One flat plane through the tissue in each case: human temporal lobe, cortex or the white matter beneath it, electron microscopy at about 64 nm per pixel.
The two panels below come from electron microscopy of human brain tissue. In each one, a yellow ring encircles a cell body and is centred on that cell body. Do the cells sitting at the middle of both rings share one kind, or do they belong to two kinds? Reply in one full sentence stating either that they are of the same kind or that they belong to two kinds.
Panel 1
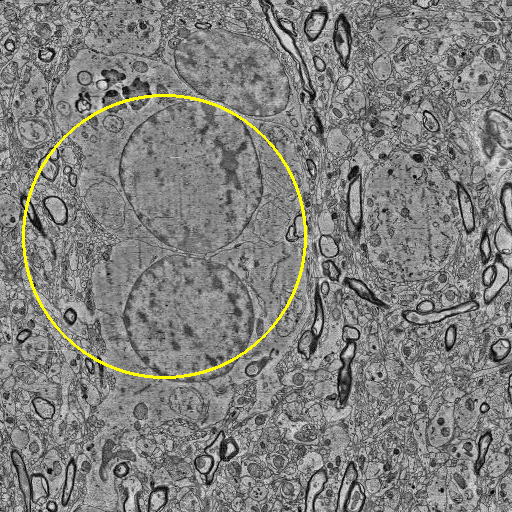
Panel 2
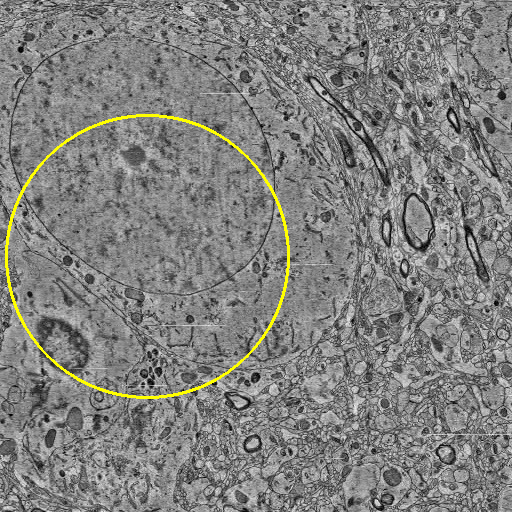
The cells at the centres of the two rings belong to two kinds.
